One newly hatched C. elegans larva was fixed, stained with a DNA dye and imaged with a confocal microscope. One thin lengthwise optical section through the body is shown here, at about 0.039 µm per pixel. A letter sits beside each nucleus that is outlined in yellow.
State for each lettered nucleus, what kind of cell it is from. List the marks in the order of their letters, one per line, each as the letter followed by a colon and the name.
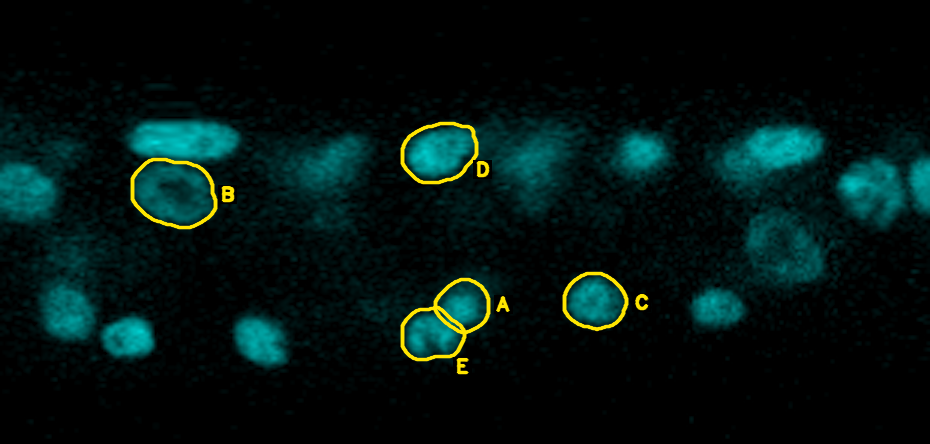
A: neuron
B: intestinal cell
C: body wall muscle cell
D: body wall muscle cell
E: body wall muscle cell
